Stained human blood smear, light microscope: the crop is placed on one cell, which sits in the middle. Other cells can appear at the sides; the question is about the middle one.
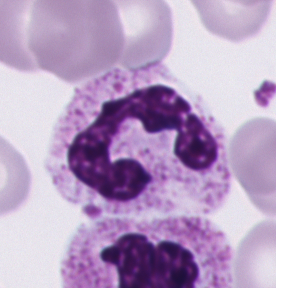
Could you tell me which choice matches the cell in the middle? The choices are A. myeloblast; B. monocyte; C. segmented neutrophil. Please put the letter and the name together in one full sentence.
The best answer is option C, since the cell in the middle is a segmented neutrophil.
